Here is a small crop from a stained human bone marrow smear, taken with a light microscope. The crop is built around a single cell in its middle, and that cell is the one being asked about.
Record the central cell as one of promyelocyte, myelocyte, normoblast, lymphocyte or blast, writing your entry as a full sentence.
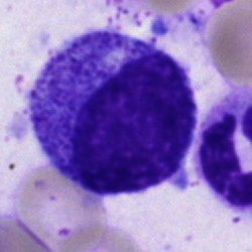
The cell shown in the center of this light-microscope crop is a promyelocyte.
